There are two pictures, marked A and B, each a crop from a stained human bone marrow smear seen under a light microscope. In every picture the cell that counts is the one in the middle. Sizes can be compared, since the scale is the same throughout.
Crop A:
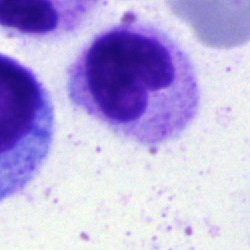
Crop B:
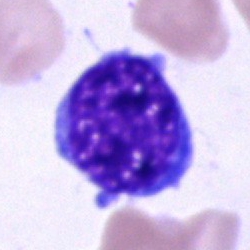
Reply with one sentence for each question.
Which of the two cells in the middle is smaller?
The cell in crop A is smaller; the one in crop B has about 1.5 times its area.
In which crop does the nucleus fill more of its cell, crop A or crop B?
The nucleus fills more of the cell in crop B than in crop A.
